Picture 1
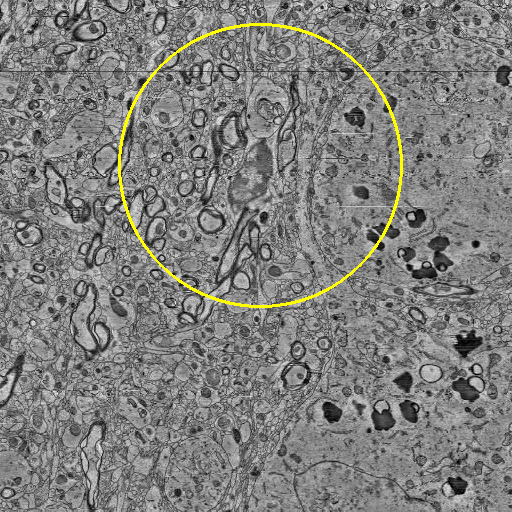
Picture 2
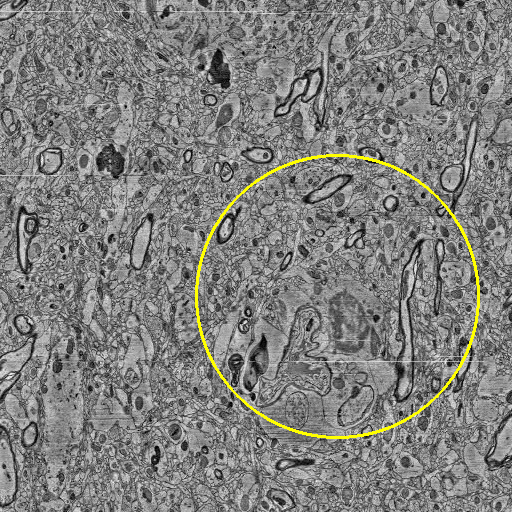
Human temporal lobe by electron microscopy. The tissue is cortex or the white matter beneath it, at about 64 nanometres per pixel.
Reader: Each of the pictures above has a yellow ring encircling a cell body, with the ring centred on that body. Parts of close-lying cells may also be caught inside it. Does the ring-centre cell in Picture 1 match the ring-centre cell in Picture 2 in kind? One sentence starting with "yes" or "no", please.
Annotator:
No, Picture 1 and Picture 2 show ring-centre cells of two kinds.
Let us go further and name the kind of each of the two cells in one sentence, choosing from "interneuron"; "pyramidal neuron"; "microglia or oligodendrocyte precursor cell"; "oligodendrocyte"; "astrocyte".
The ring of the first picture is on a microglial cell or oligodendrocyte precursor cell, the ring of the second on an oligodendrocyte.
